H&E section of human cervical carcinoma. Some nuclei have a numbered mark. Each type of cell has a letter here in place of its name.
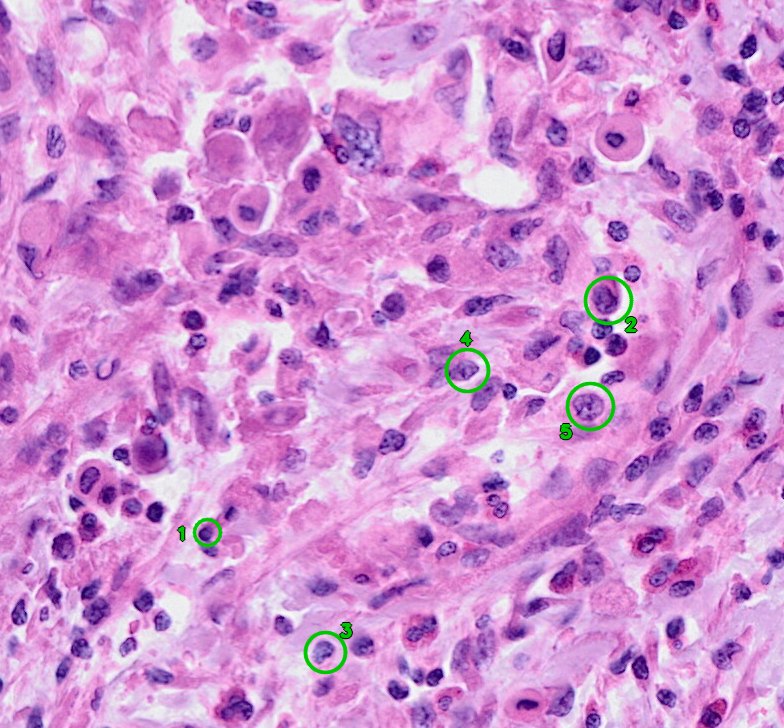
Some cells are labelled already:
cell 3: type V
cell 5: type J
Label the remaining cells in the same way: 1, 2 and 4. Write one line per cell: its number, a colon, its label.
1: type V
2: type J
4: type J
